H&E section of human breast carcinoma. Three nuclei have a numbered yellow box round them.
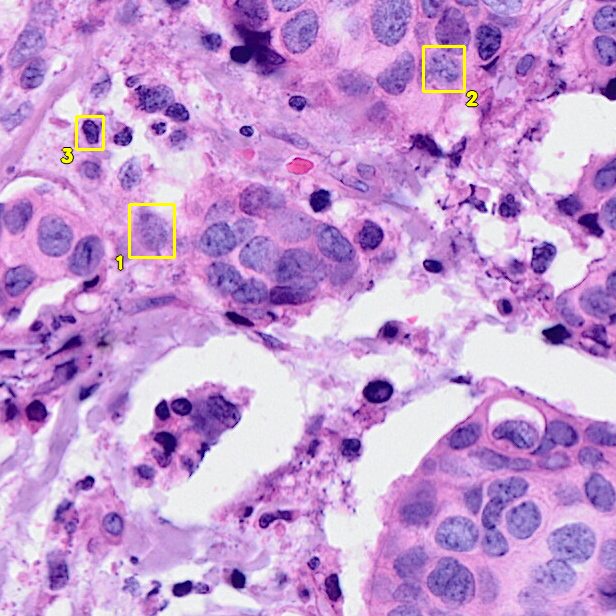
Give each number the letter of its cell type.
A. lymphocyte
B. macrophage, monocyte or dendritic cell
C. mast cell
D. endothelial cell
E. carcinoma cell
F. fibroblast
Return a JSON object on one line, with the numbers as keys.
{"1": "E", "2": "E", "3": "A"}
